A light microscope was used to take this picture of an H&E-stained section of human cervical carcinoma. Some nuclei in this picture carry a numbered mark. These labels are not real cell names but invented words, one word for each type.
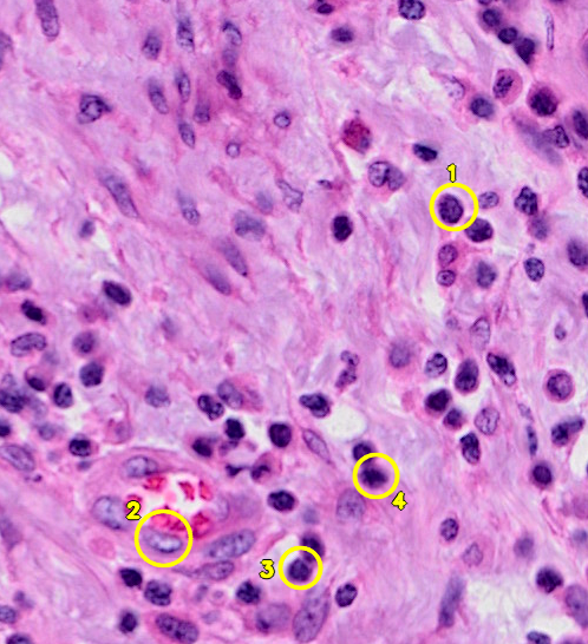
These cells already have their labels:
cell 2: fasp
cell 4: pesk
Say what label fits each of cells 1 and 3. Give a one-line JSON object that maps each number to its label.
{"1": "pesk", "3": "pesk"}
